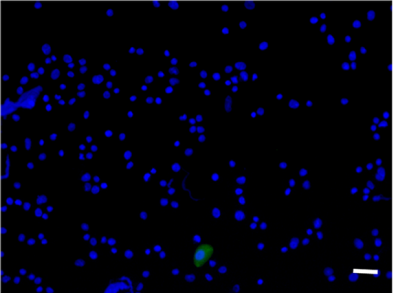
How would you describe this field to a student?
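A few nuclei are larger and more oval than the rest. A single cell near the lower middle shows green fluorescence around its nucleus. Nearly all other nuclei show no green signal.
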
